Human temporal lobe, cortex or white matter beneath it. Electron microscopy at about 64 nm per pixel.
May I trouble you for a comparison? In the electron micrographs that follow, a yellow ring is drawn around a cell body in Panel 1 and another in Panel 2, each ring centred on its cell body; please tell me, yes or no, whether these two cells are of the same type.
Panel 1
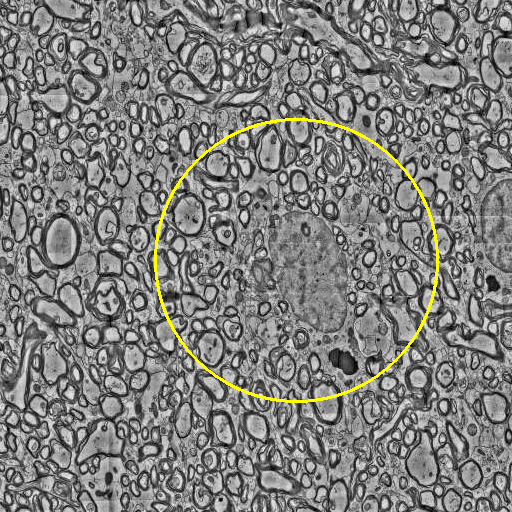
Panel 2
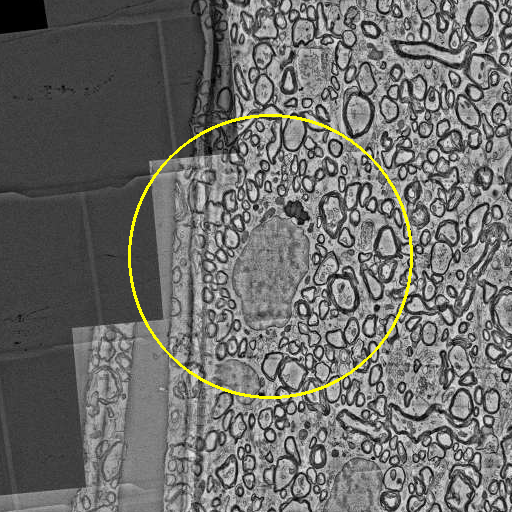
no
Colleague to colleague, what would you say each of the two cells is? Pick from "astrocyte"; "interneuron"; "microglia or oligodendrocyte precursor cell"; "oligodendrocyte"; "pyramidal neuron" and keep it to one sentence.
The cell in the first picture is an oligodendrocyte; the second picture's cell is a microglial cell or oligodendrocyte precursor cell.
